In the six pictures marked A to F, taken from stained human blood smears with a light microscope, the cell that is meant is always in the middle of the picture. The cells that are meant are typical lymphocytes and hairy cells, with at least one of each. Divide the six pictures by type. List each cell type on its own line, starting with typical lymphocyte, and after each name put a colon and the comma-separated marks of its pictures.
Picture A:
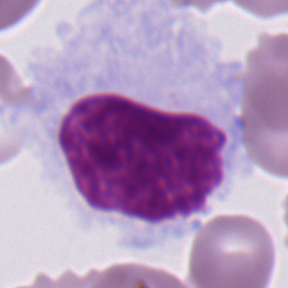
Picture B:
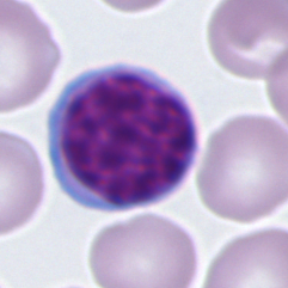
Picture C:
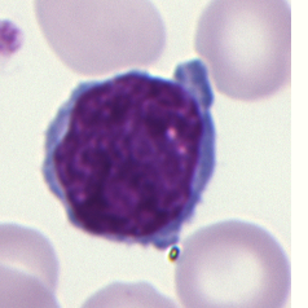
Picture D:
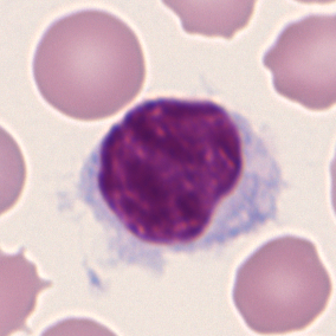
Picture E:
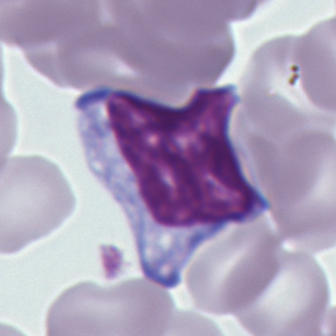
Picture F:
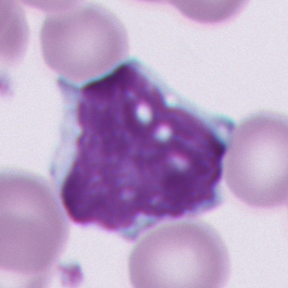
typical lymphocyte: B, C, E, F
hairy cell: A, D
